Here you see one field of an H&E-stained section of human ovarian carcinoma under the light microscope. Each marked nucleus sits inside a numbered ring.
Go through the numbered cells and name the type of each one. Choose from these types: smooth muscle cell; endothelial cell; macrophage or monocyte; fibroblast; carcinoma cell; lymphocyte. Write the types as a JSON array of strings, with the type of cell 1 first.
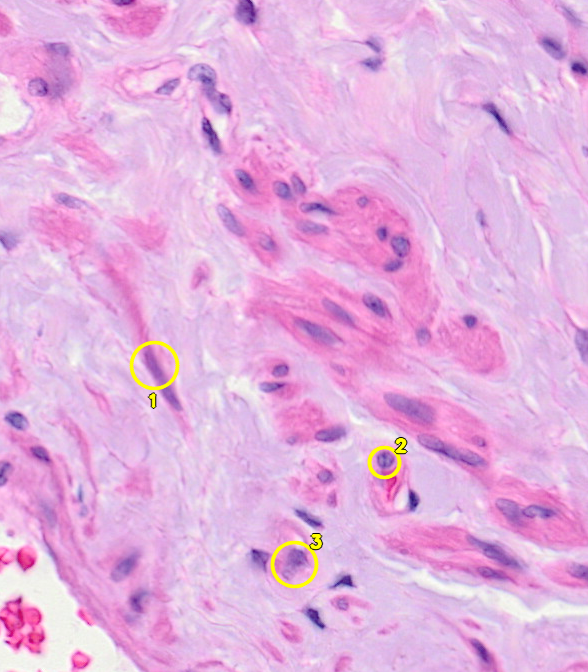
["smooth muscle cell", "endothelial cell", "endothelial cell"]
